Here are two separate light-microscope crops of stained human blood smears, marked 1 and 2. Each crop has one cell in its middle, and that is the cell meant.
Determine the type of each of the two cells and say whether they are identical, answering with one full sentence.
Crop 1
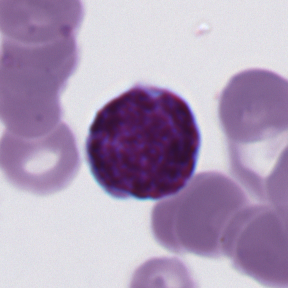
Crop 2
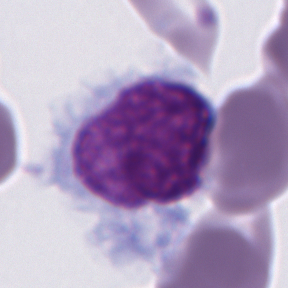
No, crop 1 has a myeloblast at its center, and crop 2 has a hairy cell.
